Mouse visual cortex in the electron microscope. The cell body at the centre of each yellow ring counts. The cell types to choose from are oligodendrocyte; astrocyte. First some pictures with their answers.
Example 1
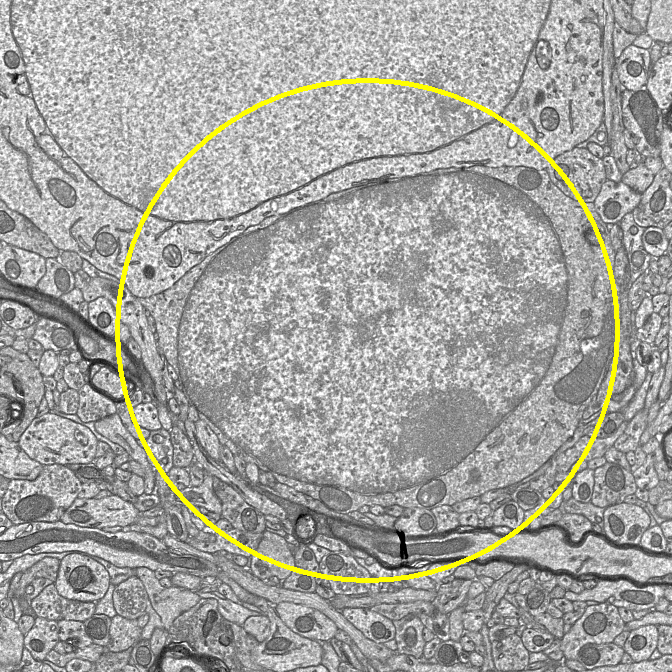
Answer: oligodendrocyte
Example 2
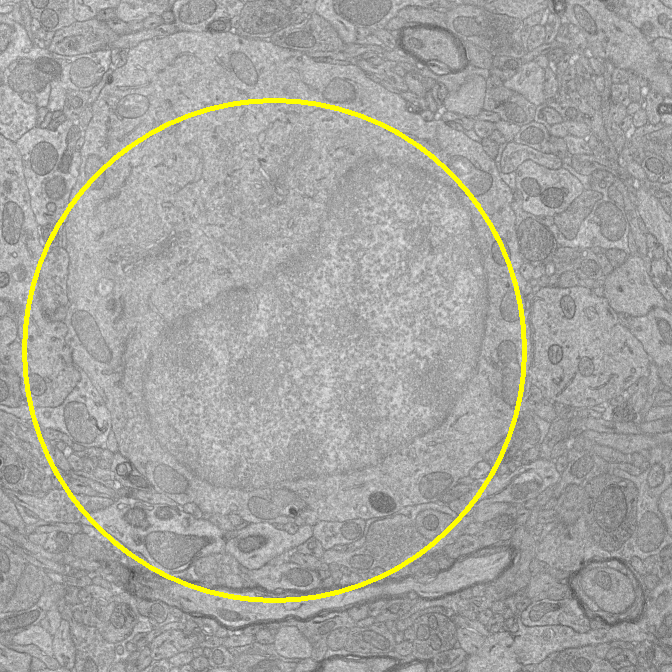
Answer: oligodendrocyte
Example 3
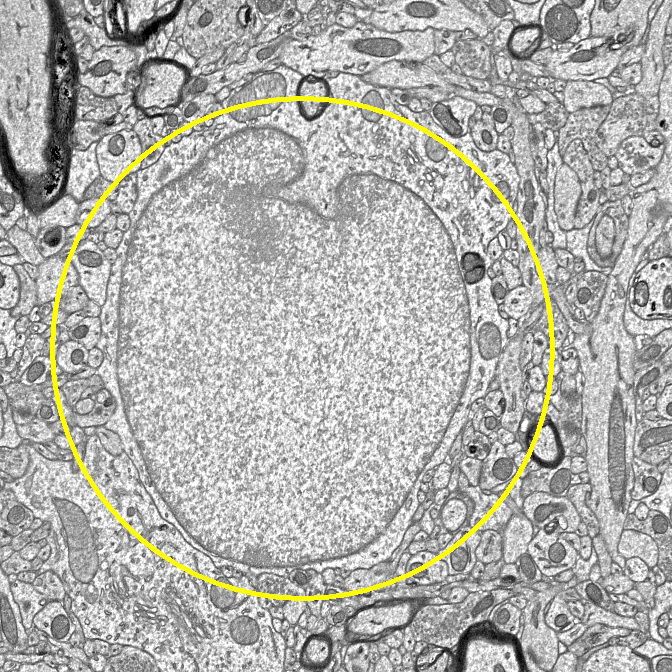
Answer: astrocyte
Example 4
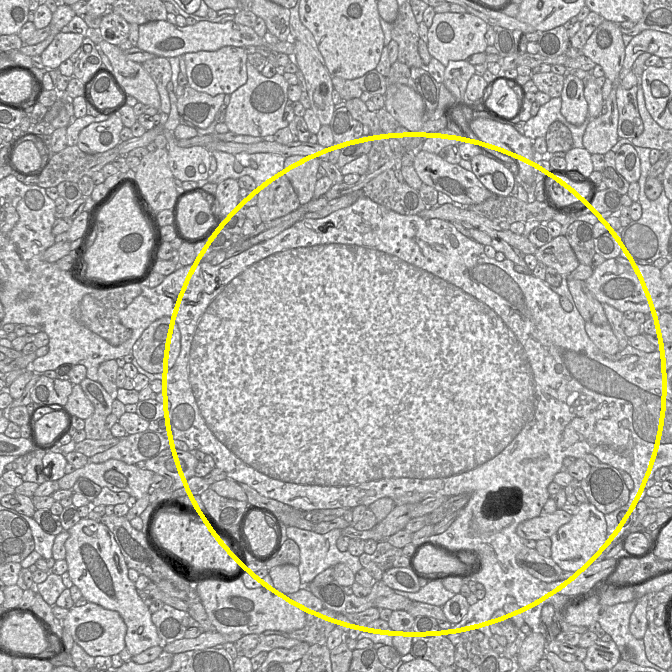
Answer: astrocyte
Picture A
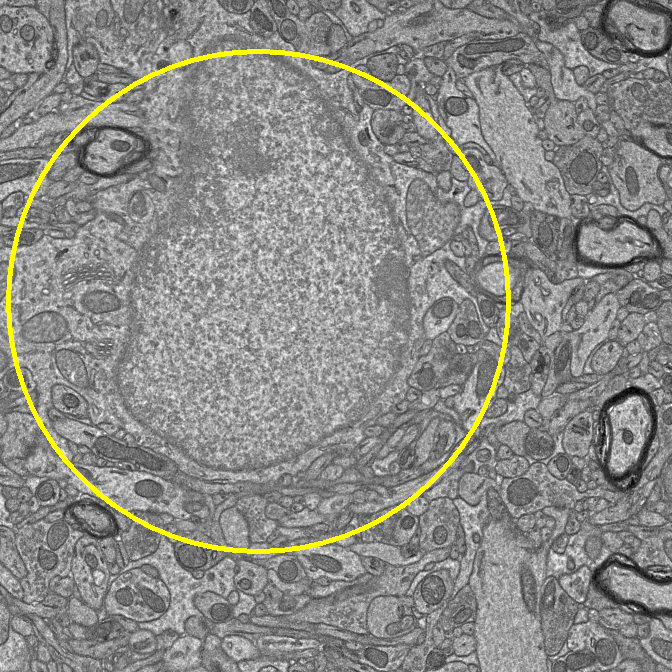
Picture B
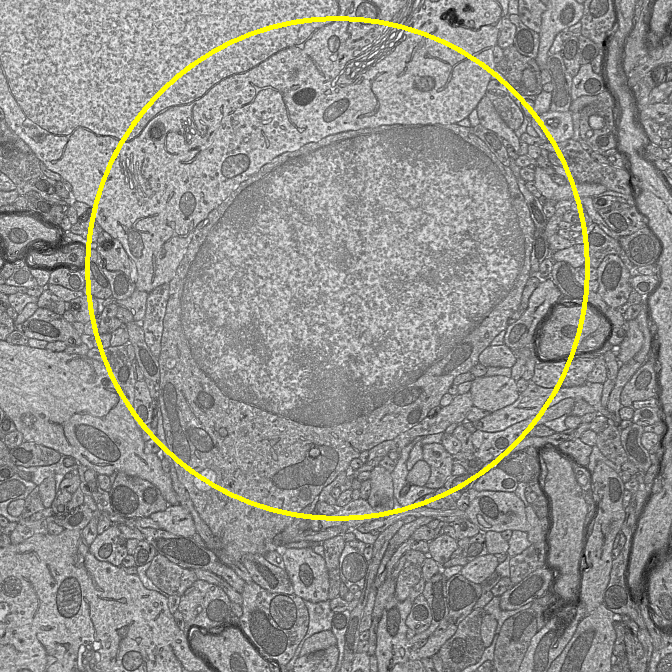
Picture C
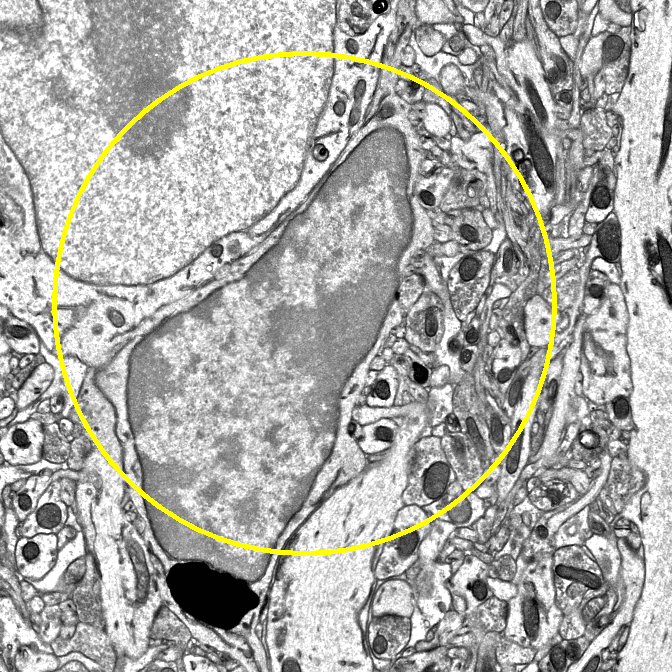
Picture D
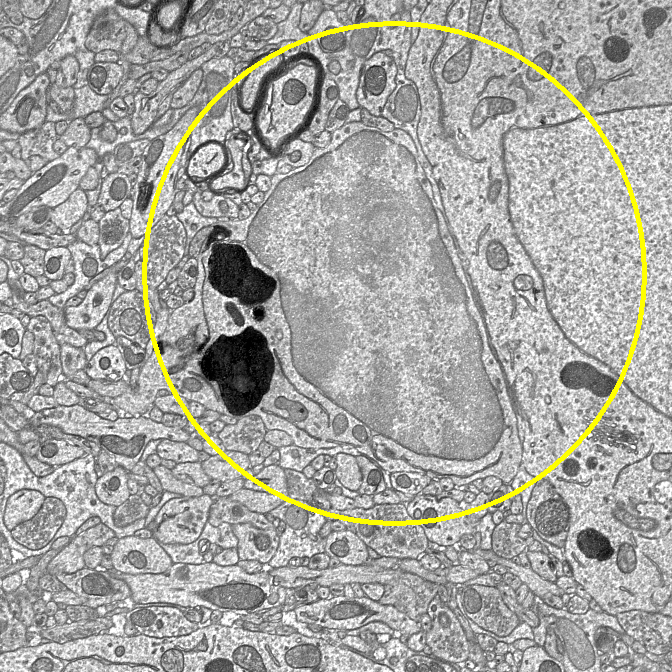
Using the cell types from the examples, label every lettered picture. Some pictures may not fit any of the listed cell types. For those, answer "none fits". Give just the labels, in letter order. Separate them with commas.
astrocyte, oligodendrocyte, none fits, none fits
